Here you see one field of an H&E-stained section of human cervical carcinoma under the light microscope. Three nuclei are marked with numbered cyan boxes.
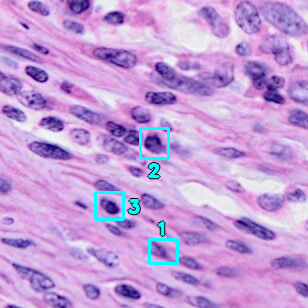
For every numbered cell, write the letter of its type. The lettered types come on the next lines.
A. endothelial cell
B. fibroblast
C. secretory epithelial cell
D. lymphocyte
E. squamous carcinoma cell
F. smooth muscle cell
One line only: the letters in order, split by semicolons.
F; D; D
